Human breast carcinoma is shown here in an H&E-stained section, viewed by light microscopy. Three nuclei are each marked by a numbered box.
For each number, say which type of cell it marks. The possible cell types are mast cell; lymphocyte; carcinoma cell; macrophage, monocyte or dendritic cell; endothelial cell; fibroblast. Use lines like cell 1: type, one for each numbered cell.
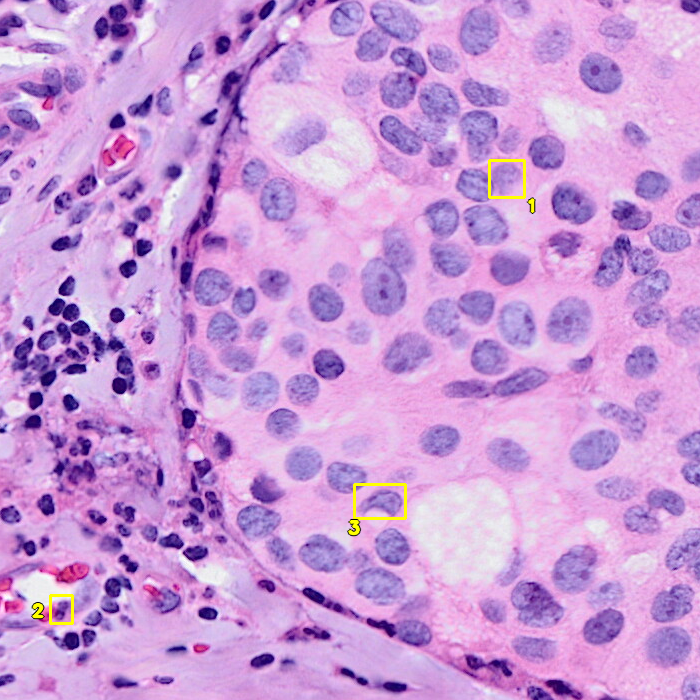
cell 1: carcinoma cell
cell 2: endothelial cell
cell 3: carcinoma cell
